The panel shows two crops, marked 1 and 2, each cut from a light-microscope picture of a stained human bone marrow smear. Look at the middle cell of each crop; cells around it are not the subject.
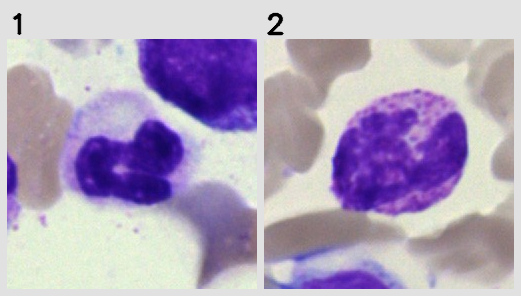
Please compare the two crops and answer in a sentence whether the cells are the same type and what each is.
No, the cell of interest in crop 1 is a segmented neutrophil, and in crop 2 it is a basophil.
